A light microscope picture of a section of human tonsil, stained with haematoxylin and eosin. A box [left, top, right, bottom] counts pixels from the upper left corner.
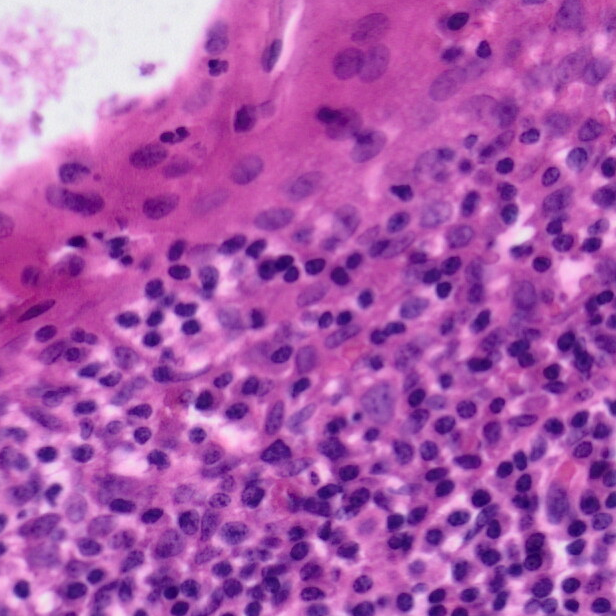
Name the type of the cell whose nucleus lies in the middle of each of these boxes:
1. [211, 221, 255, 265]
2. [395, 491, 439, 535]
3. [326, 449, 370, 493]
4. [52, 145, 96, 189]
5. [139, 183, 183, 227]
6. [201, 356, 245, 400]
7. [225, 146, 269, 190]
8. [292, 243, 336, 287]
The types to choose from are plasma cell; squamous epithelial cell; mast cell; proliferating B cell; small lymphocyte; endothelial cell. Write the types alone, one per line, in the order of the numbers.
squamous epithelial cell
plasma cell
plasma cell
squamous epithelial cell
squamous epithelial cell
plasma cell
squamous epithelial cell
plasma cell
